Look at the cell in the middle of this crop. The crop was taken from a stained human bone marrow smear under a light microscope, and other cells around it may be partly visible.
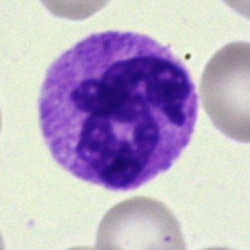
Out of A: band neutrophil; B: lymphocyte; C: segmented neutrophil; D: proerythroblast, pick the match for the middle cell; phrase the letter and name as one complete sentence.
That the central cell is a segmented neutrophil makes option C correct.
